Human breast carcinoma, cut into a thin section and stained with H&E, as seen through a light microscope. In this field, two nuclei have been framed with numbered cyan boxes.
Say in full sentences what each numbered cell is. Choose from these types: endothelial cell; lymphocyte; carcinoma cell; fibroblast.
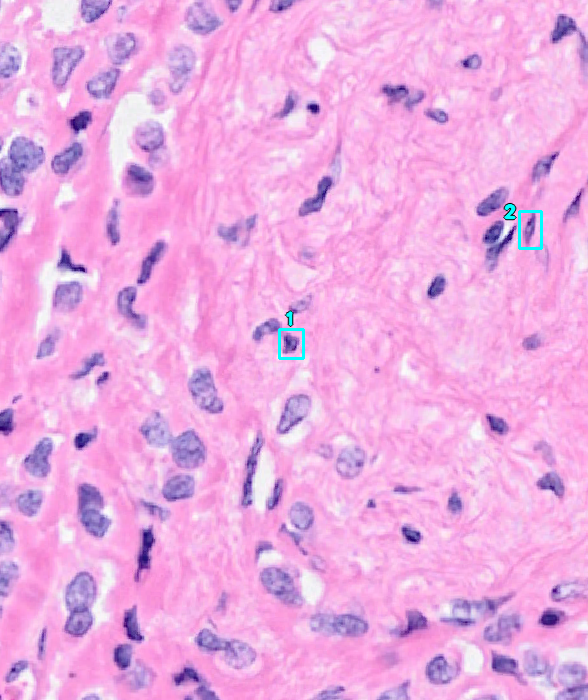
Cell 1 is a lymphocyte and cell 2 is an endothelial cell.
